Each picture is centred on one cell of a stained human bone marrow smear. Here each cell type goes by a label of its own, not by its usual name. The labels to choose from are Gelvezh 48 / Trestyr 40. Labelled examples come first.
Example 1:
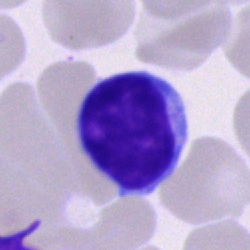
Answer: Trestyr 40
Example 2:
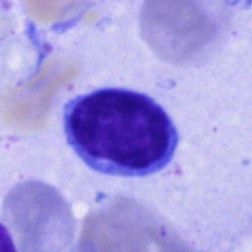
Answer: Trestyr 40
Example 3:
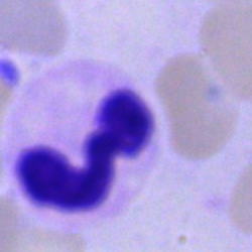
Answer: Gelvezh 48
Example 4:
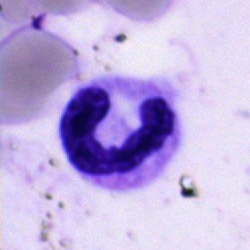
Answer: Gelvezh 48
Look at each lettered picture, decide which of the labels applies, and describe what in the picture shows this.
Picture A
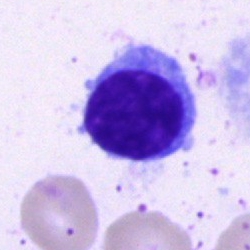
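Answer: Trestyr 40. The nucleus fills most of the cell.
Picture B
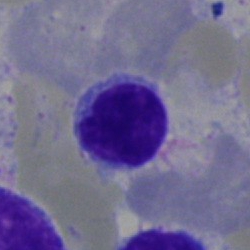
Answer: Trestyr 40. The cytoplasm forms only a thin rim that is widest on the left side.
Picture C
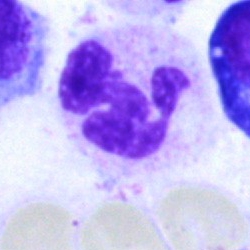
Answer: Gelvezh 48. The cytoplasm is plentiful and pale with a faint pinkish tint.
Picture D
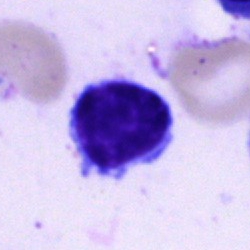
Answer: Trestyr 40. The nucleus fills almost the whole cell.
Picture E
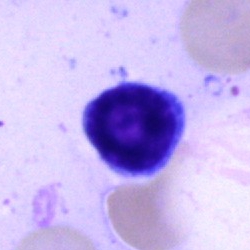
Answer: Trestyr 40. The thin rim of cytoplasm is deep blue.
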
